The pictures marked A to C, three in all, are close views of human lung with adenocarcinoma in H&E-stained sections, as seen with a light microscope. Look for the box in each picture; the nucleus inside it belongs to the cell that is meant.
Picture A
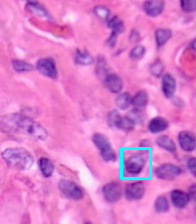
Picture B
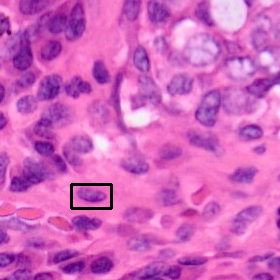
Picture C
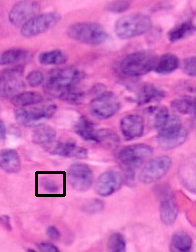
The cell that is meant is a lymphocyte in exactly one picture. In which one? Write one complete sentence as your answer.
The cell in picture A is the lymphocyte.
